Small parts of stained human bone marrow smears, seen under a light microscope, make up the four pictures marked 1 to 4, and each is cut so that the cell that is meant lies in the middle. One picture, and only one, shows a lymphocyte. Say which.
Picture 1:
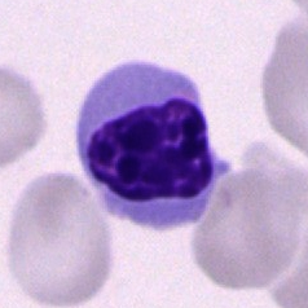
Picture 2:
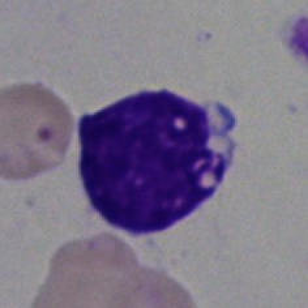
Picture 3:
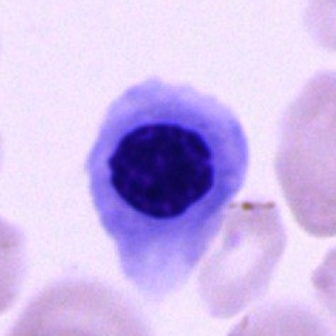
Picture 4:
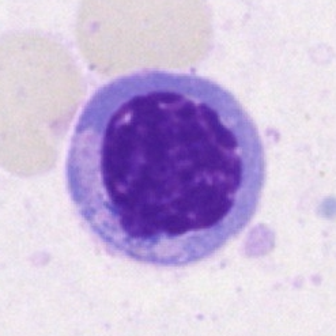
2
